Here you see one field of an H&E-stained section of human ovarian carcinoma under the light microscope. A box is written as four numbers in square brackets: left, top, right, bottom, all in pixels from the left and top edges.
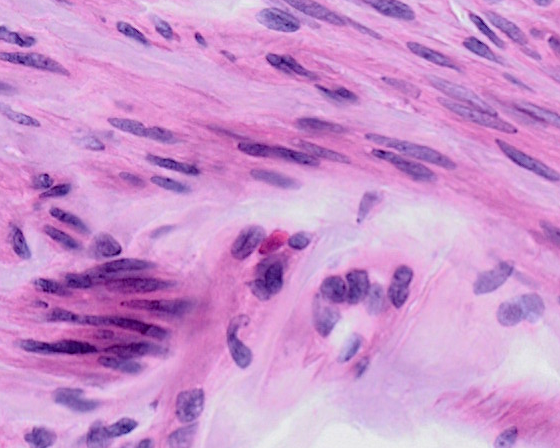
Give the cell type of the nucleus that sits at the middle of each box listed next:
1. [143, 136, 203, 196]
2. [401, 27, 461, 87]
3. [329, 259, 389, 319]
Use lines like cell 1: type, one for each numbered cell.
cell 1: smooth muscle cell
cell 2: smooth muscle cell
cell 3: endothelial cell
